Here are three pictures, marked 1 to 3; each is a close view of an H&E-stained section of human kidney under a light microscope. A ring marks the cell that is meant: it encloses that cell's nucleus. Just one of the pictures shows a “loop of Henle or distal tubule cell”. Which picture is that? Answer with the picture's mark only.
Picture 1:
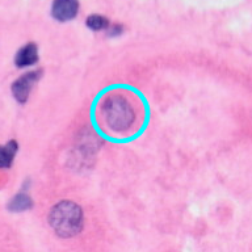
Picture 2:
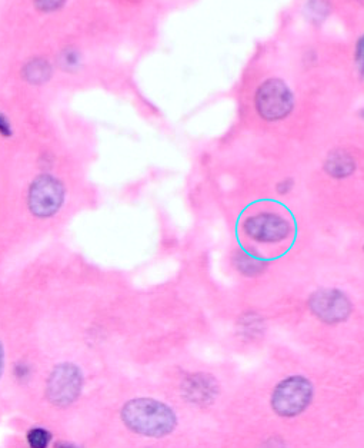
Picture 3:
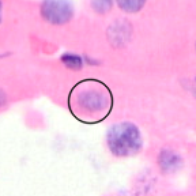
3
